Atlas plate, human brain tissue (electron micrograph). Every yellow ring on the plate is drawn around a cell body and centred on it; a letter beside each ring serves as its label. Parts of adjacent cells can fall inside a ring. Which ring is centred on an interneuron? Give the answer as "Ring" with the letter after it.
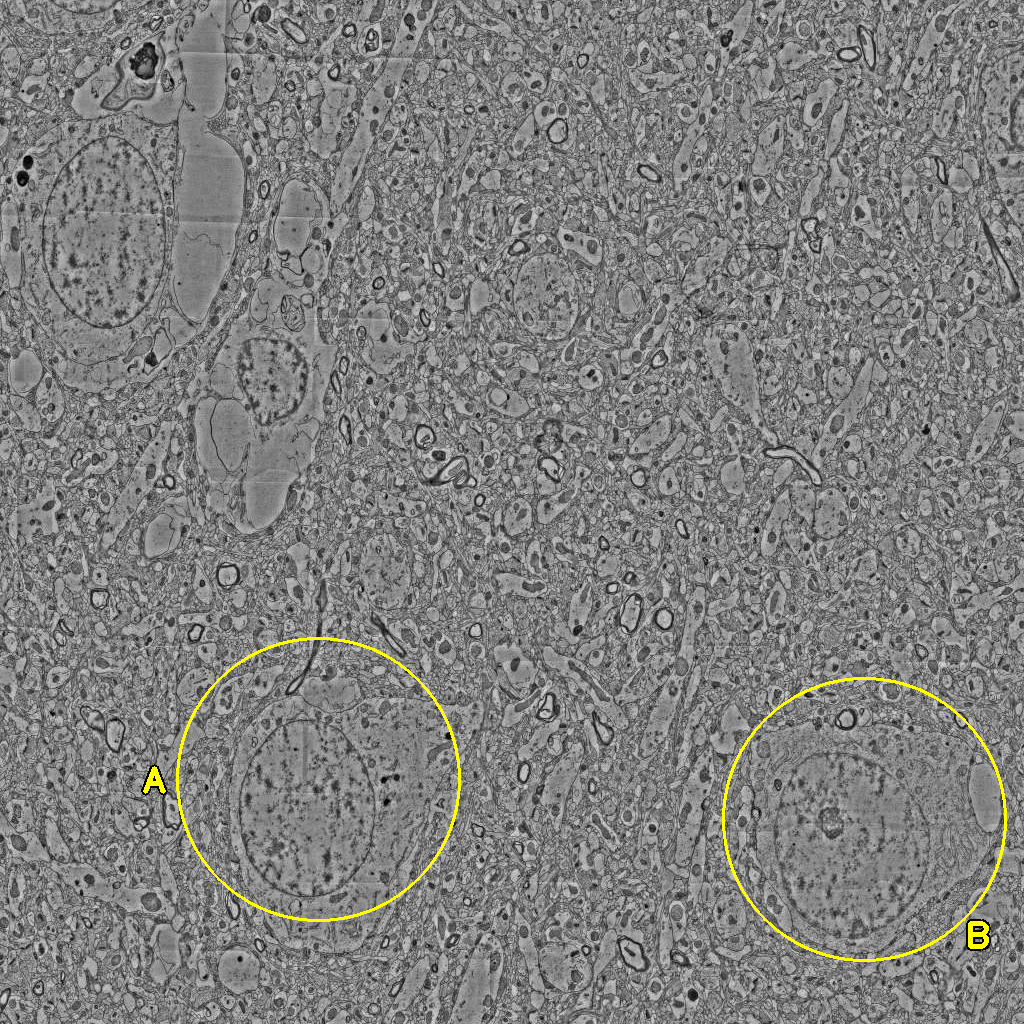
Ring B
